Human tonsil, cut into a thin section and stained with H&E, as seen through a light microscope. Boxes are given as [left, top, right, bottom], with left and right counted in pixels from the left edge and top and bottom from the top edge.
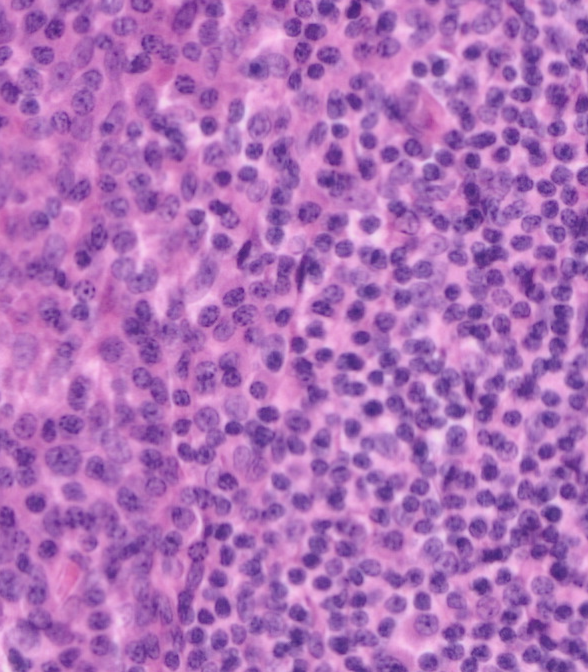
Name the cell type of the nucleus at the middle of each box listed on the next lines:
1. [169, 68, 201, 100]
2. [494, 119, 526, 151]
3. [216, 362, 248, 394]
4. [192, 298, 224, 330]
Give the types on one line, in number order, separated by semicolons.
plasma cell; small lymphocyte; plasma cell; plasma cell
